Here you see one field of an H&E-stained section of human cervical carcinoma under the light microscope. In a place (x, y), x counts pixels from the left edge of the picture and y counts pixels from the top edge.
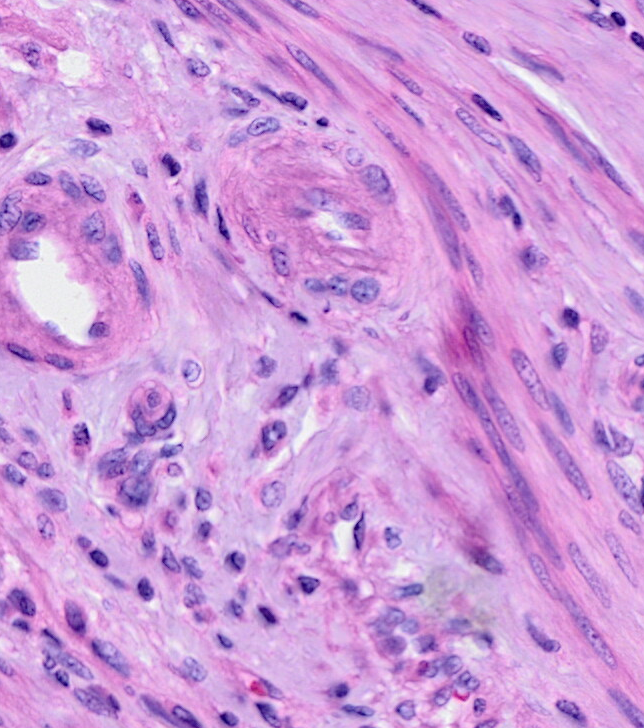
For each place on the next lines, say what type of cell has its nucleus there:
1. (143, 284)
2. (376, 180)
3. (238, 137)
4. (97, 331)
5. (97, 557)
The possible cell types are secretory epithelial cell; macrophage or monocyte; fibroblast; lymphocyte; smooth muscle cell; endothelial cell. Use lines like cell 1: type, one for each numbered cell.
cell 1: smooth muscle cell
cell 2: smooth muscle cell
cell 3: smooth muscle cell
cell 4: endothelial cell
cell 5: lymphocyte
